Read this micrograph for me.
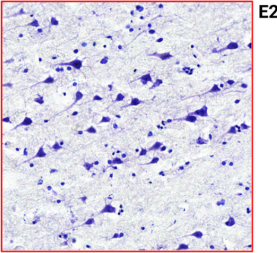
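This is cerebral cortex with pyramidal neurons and small granule-like cells, stained violet on a pale background. Medium-sized triangular cell bodies are darkly stained and scattered across the field. Each sends a tapering apical process in a common direction, so the neurons appear aligned. Among them are many small, round, dark nuclei with scant cytoplasm, lying singly or in small groups beside the larger cells. The pale neuropil between the cells is finely fibrillar and even. It shows no holes or clefts, and the cell bodies keep sharp outlines.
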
